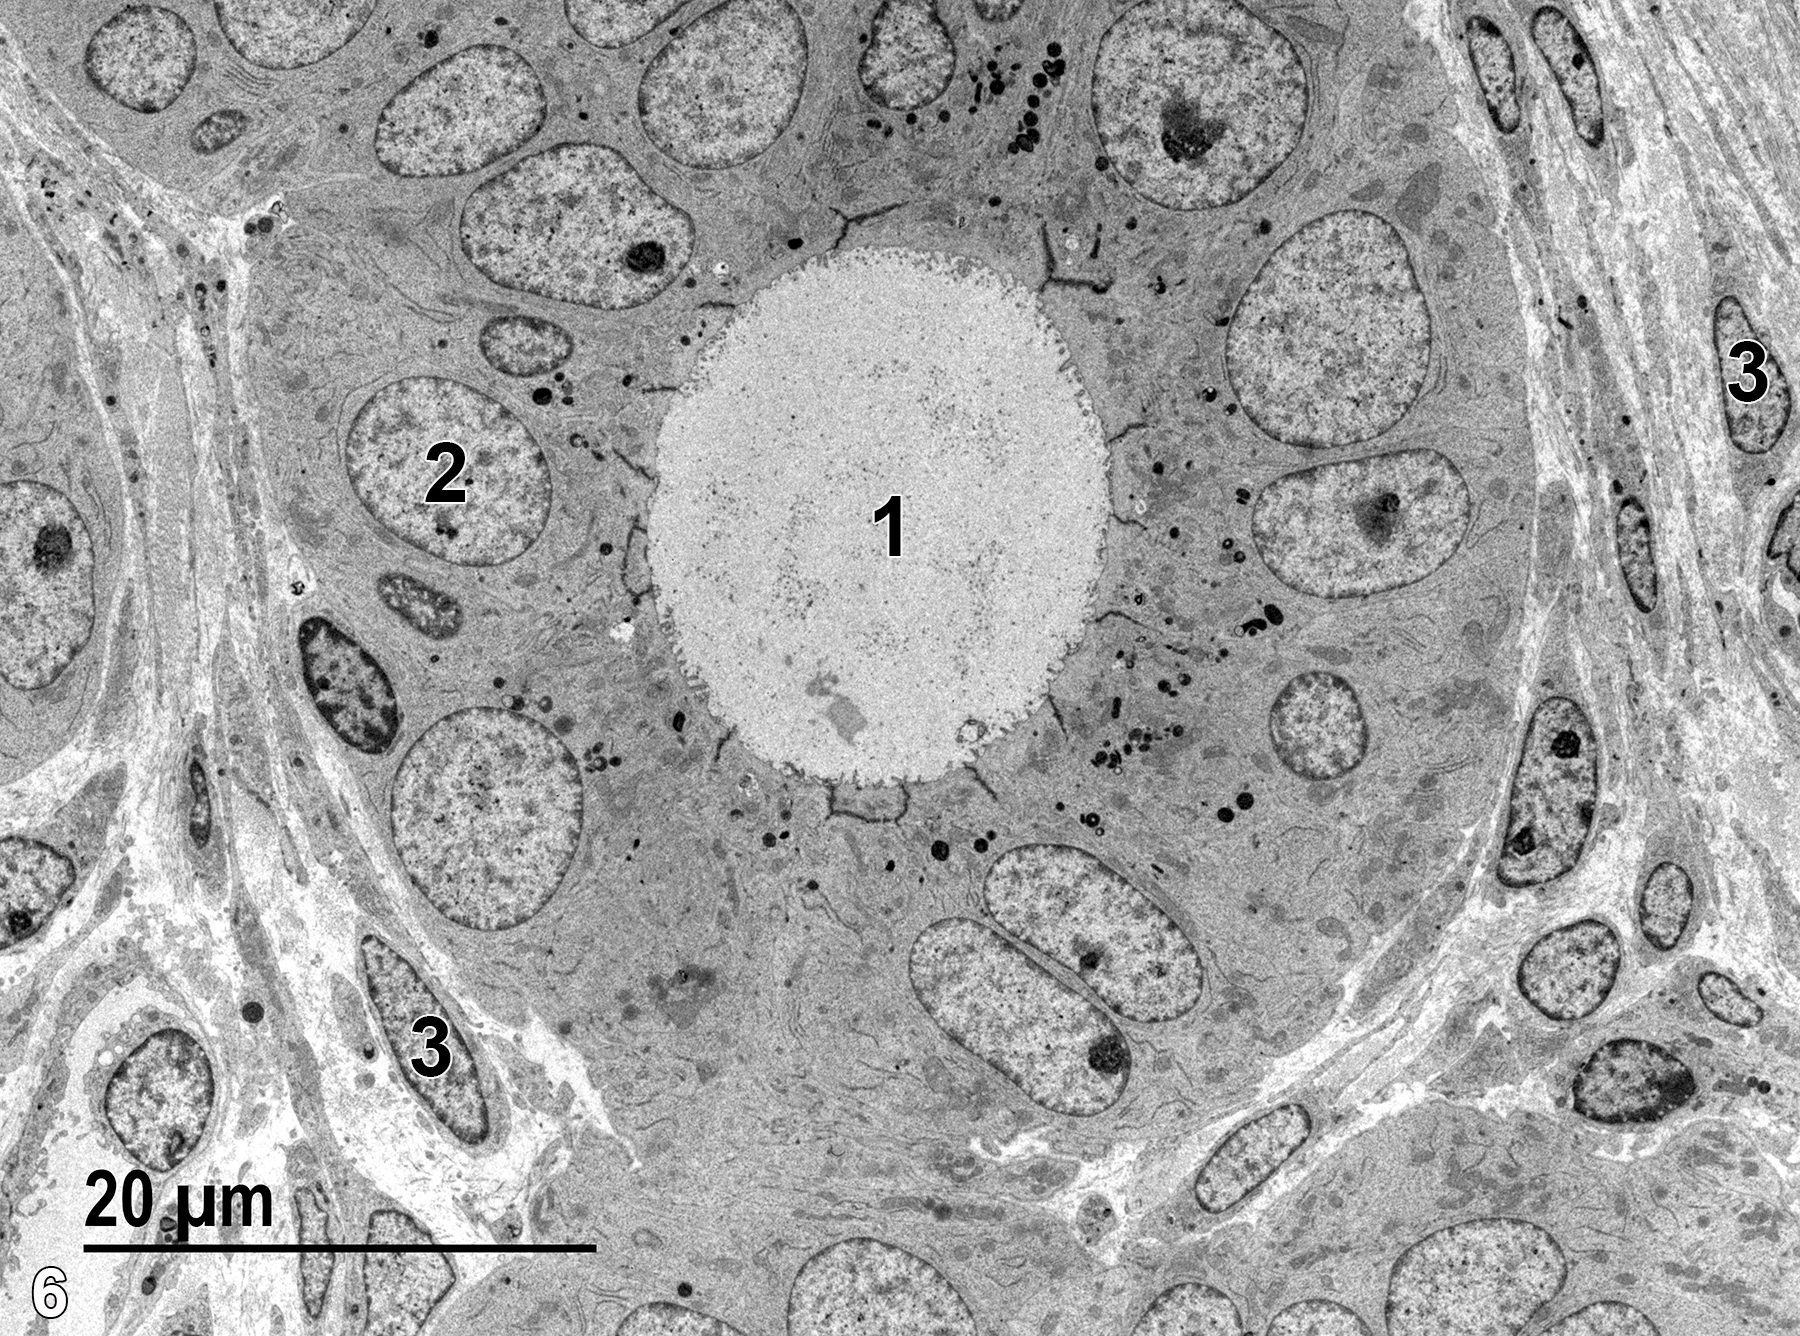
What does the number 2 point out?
The number 2 marks the cuboidal epithelial cells.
